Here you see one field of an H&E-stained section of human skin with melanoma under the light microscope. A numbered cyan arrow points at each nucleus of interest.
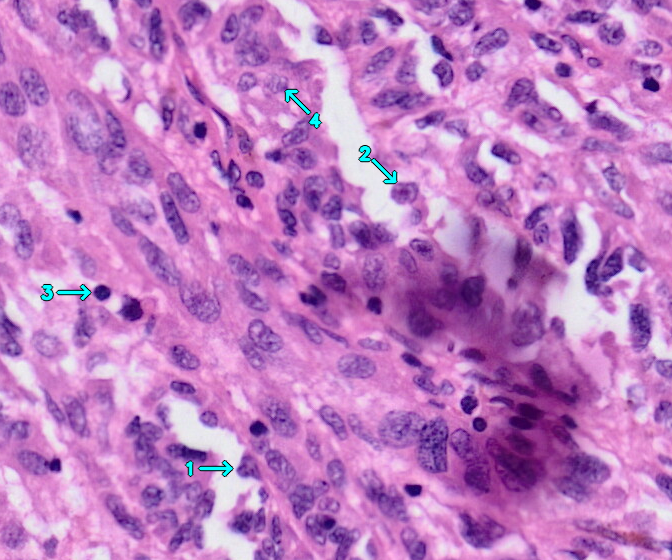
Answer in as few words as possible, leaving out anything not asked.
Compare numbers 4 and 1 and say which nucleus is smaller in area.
4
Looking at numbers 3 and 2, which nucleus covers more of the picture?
2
